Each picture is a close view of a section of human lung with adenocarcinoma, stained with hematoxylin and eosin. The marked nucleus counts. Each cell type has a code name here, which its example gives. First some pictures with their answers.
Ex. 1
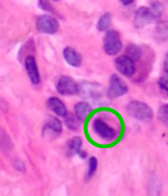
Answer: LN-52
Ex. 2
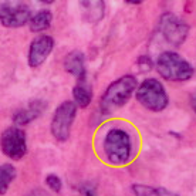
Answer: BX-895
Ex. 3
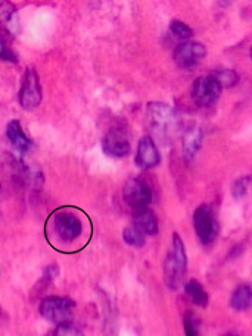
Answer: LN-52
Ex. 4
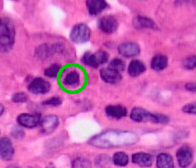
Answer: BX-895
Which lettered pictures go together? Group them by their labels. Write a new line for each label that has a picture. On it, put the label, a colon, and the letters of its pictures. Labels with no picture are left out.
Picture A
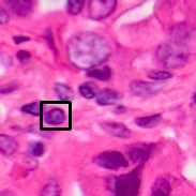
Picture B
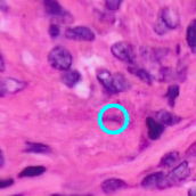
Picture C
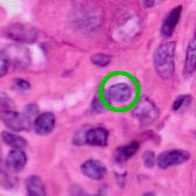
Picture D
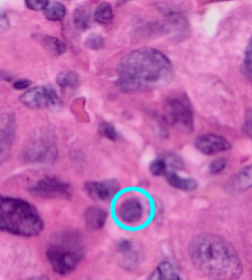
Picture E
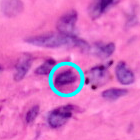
LN-52: B, E
BX-895: A, C, D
